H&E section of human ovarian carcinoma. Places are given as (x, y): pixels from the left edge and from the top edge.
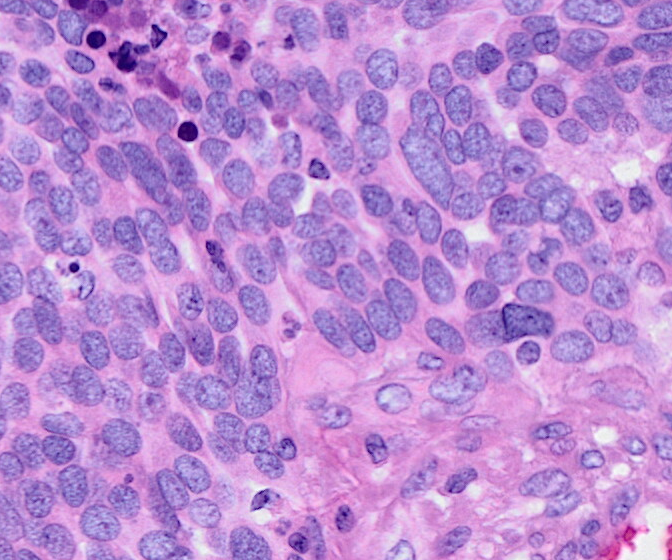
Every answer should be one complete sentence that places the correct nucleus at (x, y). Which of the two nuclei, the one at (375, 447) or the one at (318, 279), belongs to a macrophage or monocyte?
Housed in a macrophage or monocyte is the nucleus at (375, 447), not the other one.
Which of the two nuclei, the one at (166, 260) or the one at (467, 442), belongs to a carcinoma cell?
Of the two, the nucleus lying at (166, 260) is the one belonging to a carcinoma cell.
